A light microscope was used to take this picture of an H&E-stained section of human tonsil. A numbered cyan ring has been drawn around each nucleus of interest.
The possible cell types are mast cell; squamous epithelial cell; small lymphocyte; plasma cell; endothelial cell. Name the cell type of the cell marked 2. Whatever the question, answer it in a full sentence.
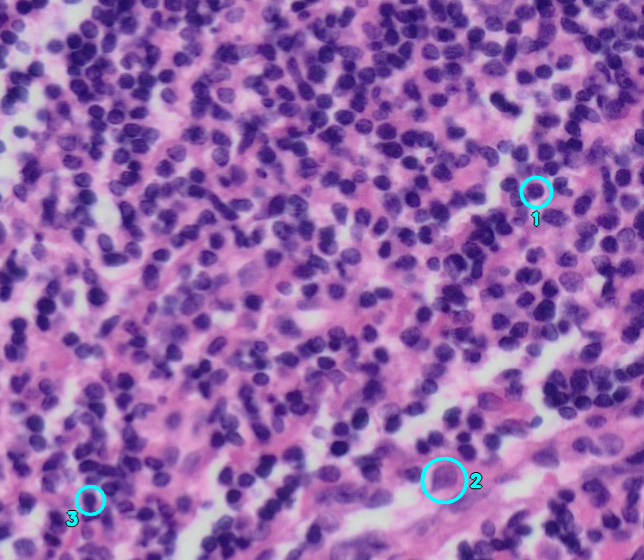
Cell 2 of the marked set is an endothelial cell.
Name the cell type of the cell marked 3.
What the number 3 marks in this field is a small lymphocyte.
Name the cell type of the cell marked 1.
The correct answer for cell 1 is a small lymphocyte.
